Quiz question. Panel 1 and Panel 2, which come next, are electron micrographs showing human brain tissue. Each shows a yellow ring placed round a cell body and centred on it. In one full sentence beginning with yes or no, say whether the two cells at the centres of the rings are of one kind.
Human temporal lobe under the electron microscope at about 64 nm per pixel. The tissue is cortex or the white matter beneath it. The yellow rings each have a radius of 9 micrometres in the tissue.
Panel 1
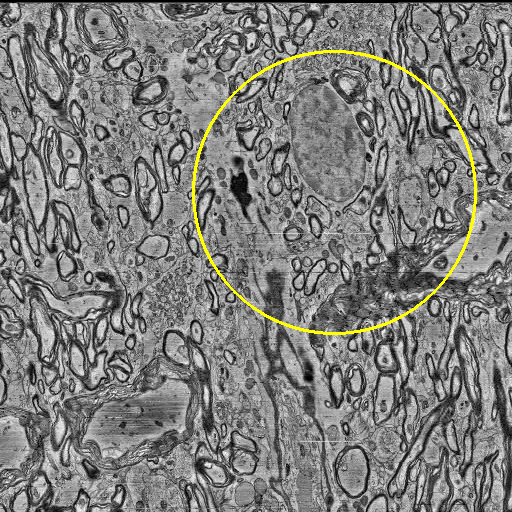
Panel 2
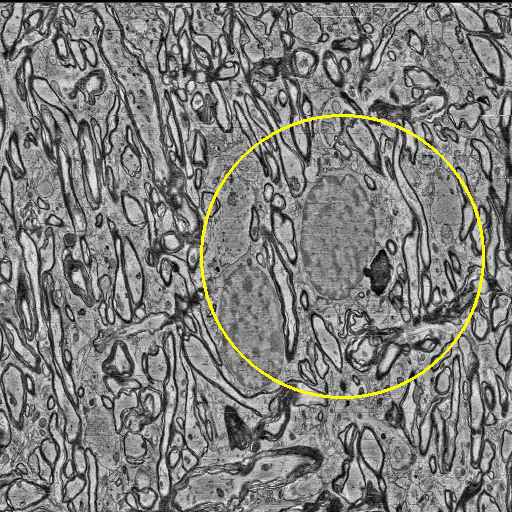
Yes, Panel 1 and Panel 2 show one kind of cell at the centre of the ring.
